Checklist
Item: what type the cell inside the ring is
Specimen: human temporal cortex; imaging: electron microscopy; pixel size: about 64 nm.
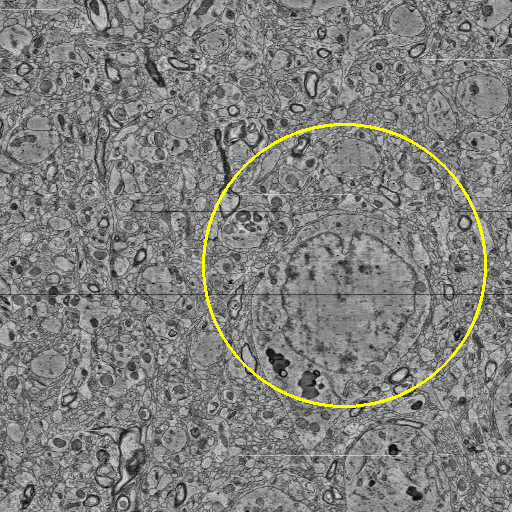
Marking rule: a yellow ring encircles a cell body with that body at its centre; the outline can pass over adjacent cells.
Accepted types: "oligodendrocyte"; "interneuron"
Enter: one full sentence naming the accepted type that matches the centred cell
The entry is that an interneuron lies at the centre of the yellow ring.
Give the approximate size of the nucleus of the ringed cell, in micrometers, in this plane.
The ringed cell's nucleus is about 9 micrometres across in this plane.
